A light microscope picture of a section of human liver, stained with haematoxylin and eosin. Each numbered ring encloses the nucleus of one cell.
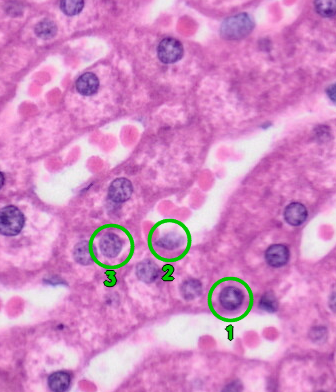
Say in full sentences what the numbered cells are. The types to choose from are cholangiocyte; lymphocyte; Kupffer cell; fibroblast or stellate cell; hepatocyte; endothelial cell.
Cells 1 and 3 are hepatocytes. Cell 2 is a Kupffer cell.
